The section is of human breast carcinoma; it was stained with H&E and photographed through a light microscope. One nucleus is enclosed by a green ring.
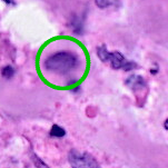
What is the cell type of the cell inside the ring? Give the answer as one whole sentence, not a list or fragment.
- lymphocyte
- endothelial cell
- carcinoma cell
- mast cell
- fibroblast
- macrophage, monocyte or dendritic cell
Histopathologically, the cell inside the ring is a macrophage, monocyte or dendritic cell.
